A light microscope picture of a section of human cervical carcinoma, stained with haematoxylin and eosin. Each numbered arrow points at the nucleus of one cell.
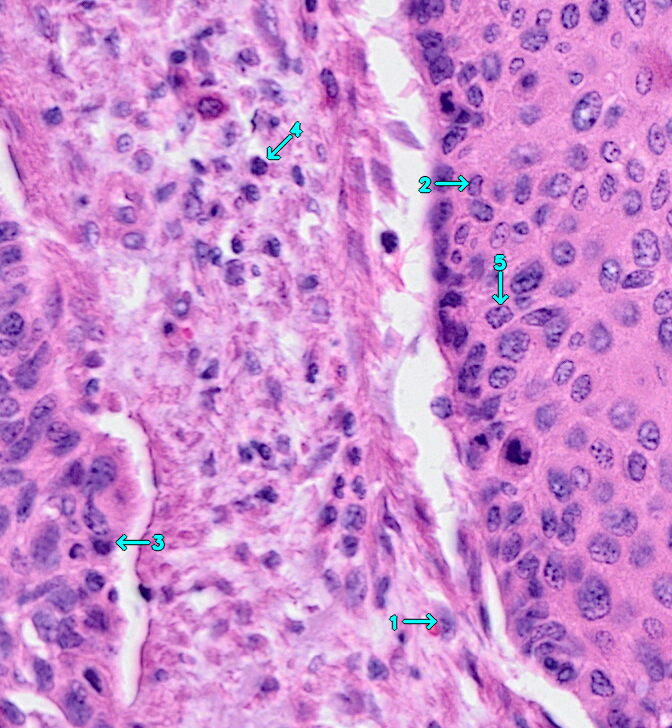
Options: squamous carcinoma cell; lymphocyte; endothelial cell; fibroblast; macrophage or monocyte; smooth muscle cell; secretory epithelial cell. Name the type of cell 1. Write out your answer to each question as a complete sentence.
The cell referenced by the number 1 is an endothelial cell in this field.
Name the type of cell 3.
The mark numbered 3 indicates the nucleus of a squamous carcinoma cell.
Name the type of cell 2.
Identified by the number 2, the cell is a squamous carcinoma cell.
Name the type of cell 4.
In the tissue shown, cell 4 is a lymphocyte.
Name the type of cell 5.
Of the numbered cells, the one labelled 5 is a squamous carcinoma cell.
